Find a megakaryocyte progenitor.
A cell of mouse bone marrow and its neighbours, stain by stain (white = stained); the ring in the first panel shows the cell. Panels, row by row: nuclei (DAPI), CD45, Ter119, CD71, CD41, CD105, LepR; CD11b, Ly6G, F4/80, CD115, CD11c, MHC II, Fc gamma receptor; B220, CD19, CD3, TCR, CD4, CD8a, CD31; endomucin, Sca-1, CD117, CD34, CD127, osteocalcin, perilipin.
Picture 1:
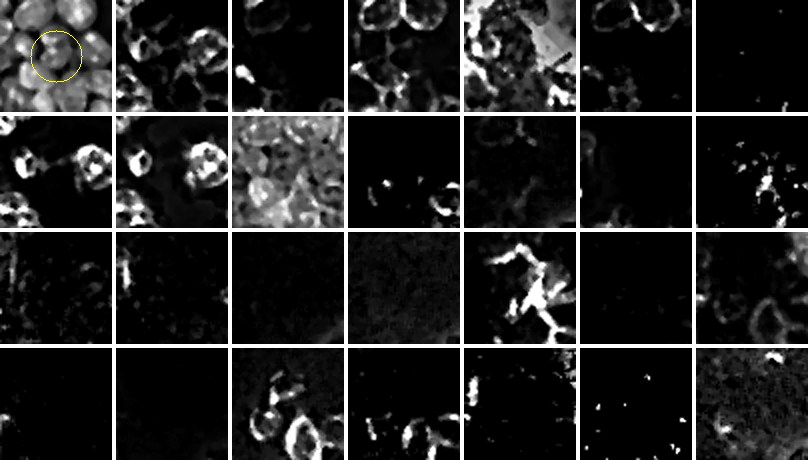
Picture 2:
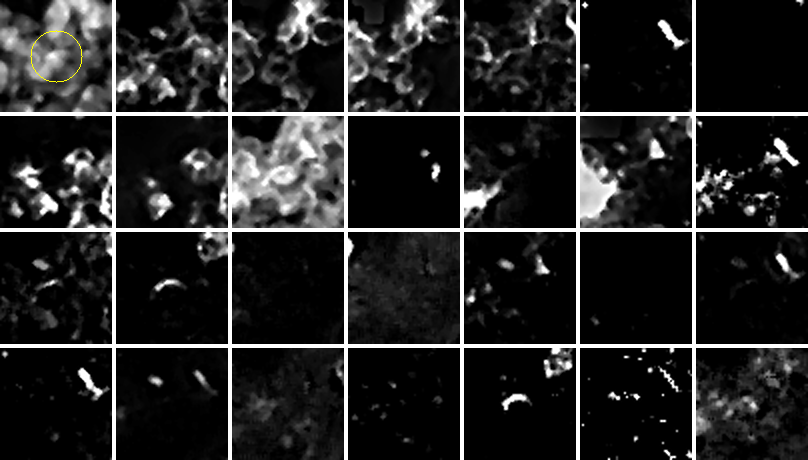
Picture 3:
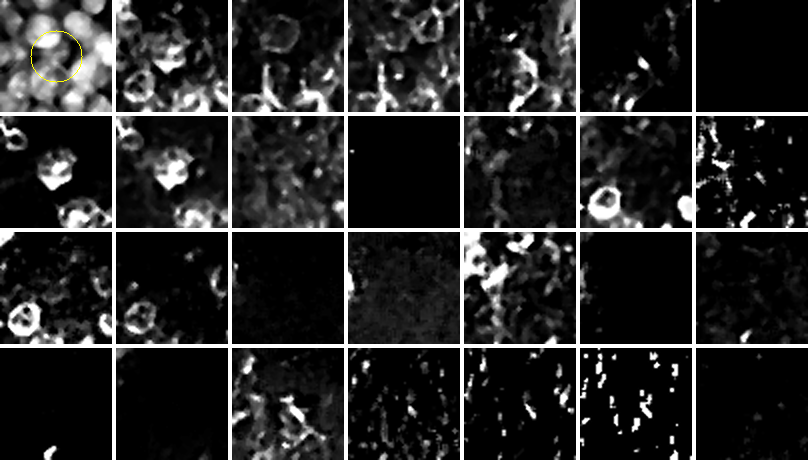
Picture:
3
